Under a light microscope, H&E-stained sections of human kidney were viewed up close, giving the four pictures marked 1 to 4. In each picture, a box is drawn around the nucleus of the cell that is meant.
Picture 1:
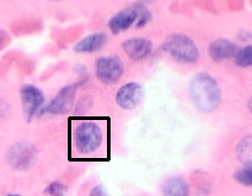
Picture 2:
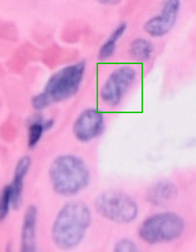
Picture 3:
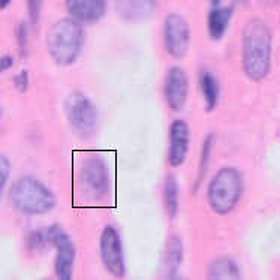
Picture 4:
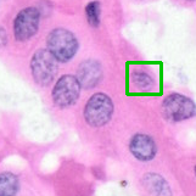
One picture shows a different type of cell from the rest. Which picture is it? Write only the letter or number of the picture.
2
